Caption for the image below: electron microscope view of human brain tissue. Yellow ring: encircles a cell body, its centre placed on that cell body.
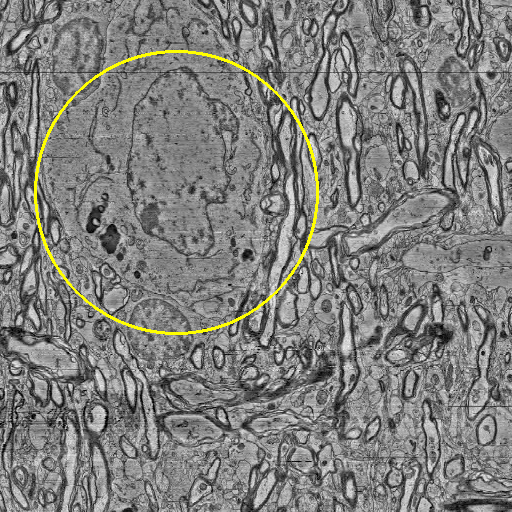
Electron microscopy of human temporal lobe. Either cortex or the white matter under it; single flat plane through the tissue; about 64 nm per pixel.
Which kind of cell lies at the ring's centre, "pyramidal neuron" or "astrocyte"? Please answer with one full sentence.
The picture shows a pyramidal neuron at the centre of the yellow ring.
